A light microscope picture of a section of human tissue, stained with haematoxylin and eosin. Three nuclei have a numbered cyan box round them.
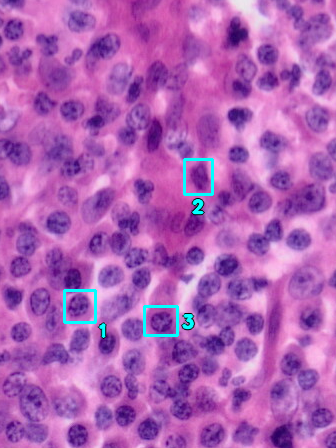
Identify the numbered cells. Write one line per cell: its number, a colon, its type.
1: plasma cell
2: squamous epithelial cell
3: plasma cell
